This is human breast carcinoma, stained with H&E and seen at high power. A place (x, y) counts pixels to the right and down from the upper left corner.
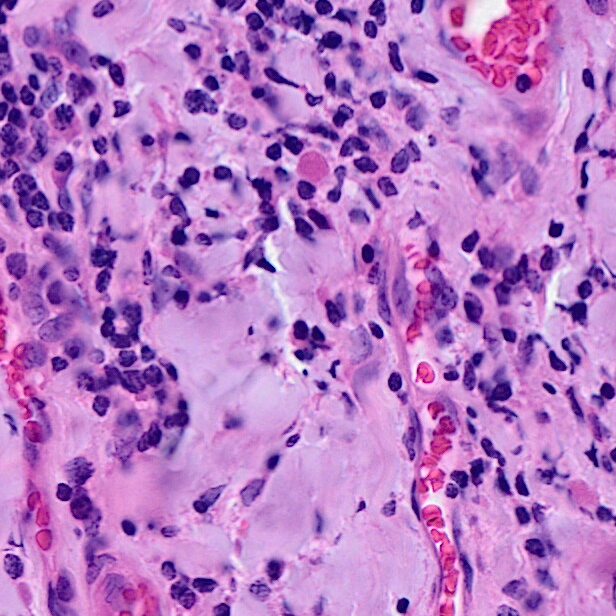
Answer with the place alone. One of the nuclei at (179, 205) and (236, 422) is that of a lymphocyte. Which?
(179, 205)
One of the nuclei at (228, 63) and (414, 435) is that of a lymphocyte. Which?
(228, 63)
